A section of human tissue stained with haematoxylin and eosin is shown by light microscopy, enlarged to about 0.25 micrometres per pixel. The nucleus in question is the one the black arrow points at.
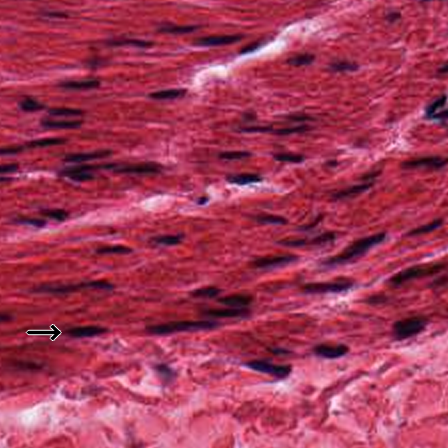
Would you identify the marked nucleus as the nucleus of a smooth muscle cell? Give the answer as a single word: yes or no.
yes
